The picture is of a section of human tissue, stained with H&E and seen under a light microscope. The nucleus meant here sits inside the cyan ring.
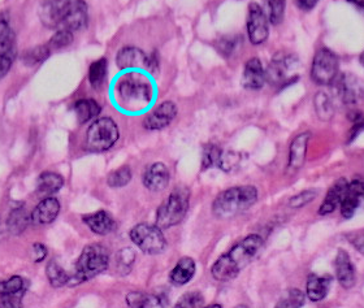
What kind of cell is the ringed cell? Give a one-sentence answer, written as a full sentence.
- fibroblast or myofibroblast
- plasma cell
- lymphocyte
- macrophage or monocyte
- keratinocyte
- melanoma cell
By its classification, the ringed cell is a melanoma cell.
